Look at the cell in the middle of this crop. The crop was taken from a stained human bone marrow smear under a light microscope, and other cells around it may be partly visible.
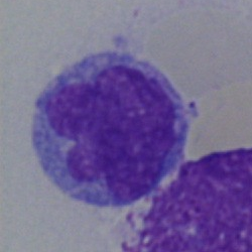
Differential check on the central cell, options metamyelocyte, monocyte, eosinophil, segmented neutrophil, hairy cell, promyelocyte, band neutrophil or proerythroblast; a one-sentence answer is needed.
Present in the middle of the crop is a monocyte.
